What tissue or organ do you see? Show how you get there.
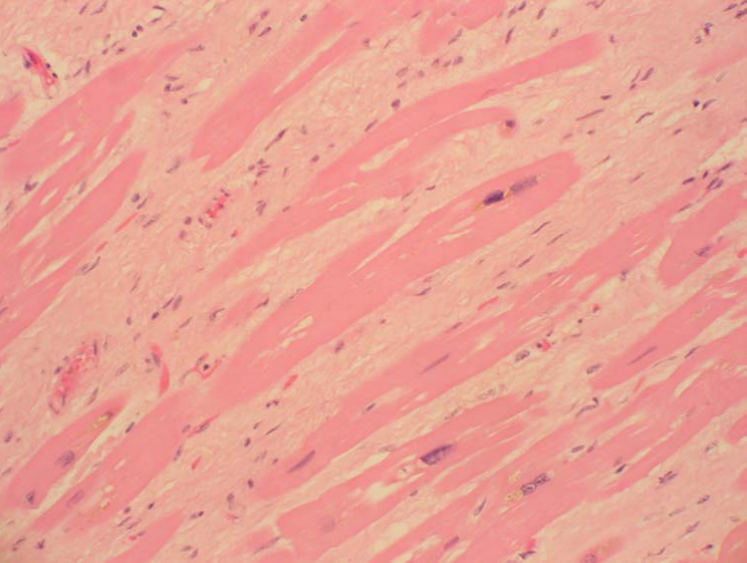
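Myocardium. Long, deep pink muscle fibres run in parallel in one direction.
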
